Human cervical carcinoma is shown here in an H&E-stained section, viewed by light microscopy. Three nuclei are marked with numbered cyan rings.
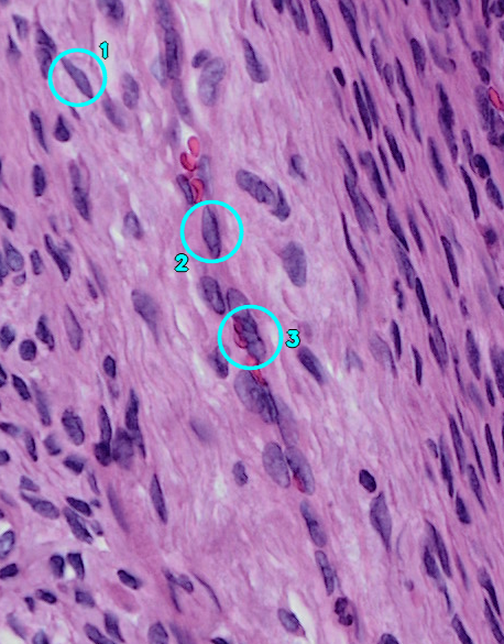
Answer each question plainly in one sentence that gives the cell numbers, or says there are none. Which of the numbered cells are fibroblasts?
Unlike the other numbered cells, cell 1 is a fibroblast.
